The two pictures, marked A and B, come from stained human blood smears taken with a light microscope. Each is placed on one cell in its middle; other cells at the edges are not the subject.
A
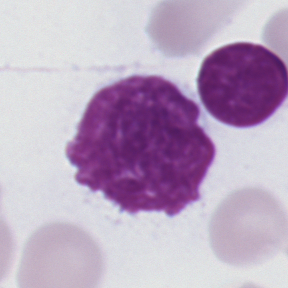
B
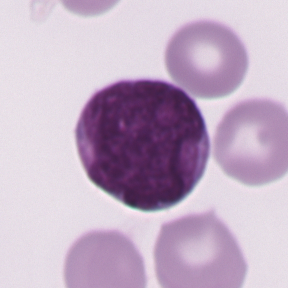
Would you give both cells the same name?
yes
